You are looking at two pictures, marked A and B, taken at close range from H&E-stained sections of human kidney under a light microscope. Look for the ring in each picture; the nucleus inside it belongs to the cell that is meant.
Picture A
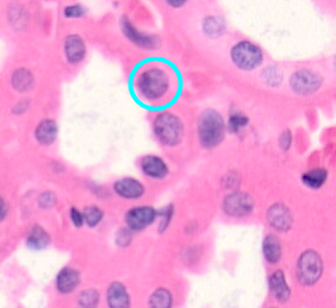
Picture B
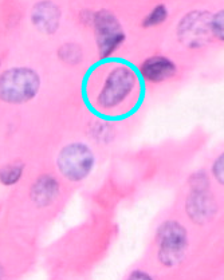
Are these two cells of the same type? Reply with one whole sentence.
No; the cell in picture A is a “loop of Henle or distal tubule cell”, while the one in picture B is a collecting duct cell.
